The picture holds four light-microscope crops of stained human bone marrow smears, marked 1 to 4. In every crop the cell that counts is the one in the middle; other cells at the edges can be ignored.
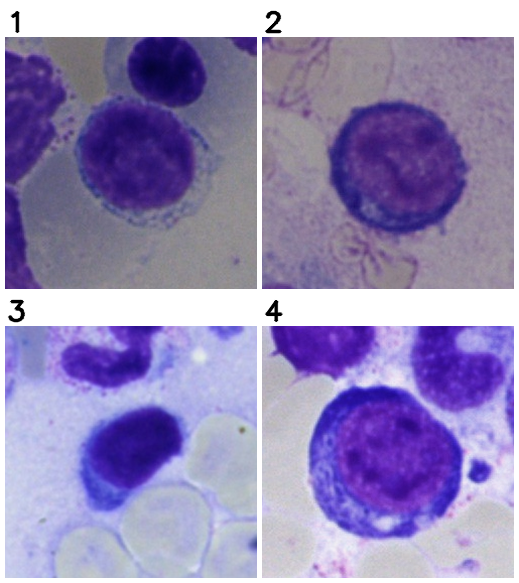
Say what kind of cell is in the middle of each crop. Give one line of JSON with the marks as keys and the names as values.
{"1": "lymphocyte", "2": "proerythroblast", "3": "lymphocyte", "4": "proerythroblast"}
